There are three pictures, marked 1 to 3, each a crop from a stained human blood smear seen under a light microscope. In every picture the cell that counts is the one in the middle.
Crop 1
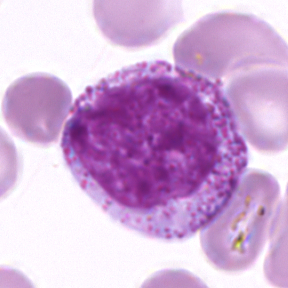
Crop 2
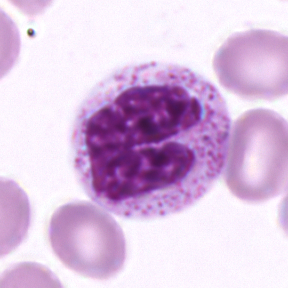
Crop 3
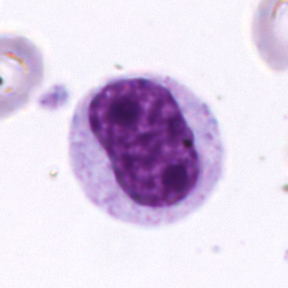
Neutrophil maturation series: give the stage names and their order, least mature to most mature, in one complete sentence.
From the earliest stage onward, the order is crop 1 (a myelocyte), crop 3 (a metamyelocyte) and crop 2 (a band neutrophil).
